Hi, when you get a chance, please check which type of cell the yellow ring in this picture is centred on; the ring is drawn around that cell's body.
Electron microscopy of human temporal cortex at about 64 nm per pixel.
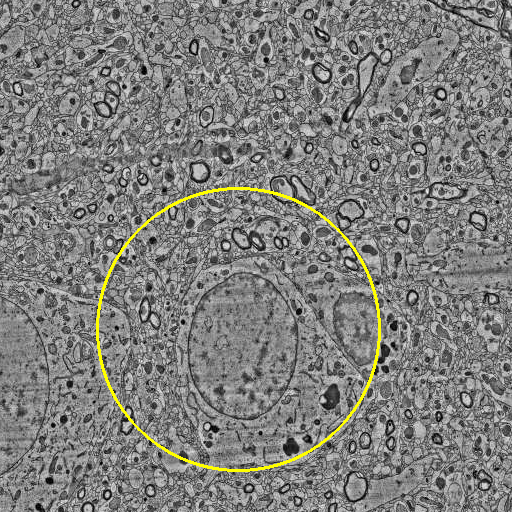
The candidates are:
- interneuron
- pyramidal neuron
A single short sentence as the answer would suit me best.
The ring is drawn around the body of a pyramidal neuron.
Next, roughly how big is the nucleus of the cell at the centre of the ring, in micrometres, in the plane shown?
About 9 by 7 micrometers for the nucleus, in this plane.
